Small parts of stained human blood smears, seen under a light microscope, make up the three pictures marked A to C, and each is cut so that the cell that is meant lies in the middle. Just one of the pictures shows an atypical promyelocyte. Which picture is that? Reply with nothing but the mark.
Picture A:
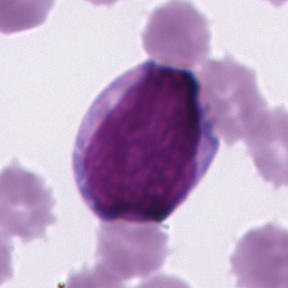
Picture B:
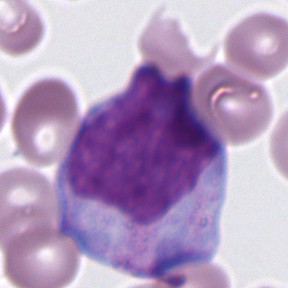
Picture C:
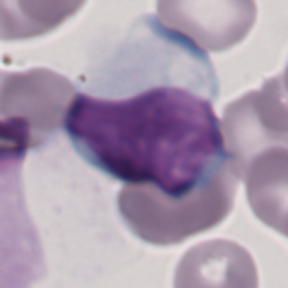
B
